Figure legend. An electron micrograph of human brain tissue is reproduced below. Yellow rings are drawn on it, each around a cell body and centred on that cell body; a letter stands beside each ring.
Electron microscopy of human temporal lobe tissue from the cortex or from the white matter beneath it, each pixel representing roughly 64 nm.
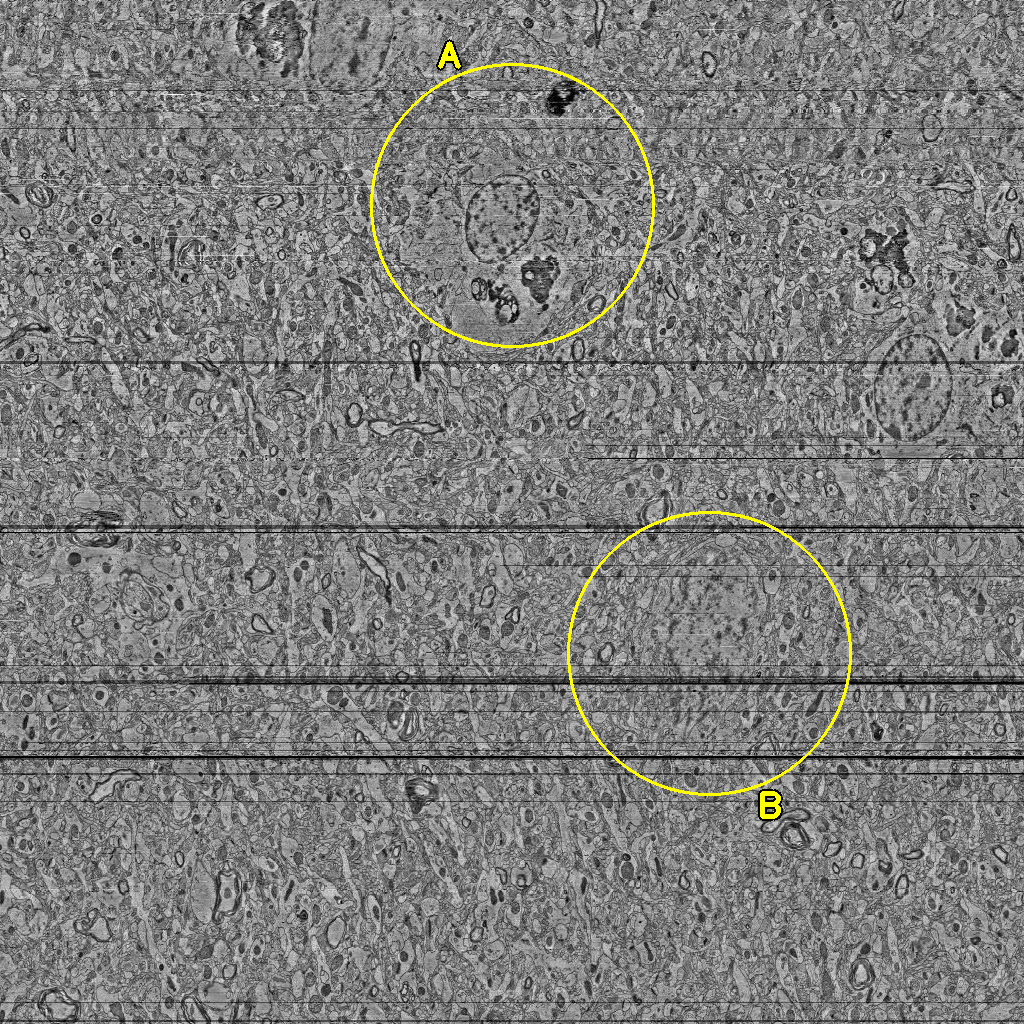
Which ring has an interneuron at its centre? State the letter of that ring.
B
